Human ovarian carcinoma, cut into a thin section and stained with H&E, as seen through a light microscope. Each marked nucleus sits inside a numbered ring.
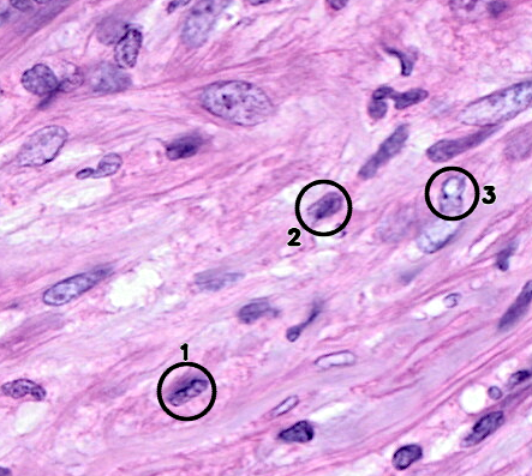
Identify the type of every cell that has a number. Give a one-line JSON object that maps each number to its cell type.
{"1": "macrophage or monocyte", "2": "macrophage or monocyte", "3": "fibroblast"}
